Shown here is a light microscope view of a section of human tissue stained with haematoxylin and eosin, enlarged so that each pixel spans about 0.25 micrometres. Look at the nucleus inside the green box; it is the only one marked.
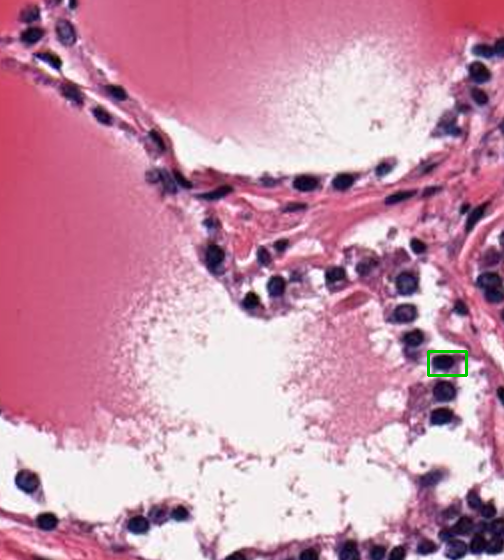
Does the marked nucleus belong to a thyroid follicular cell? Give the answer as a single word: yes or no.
yes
